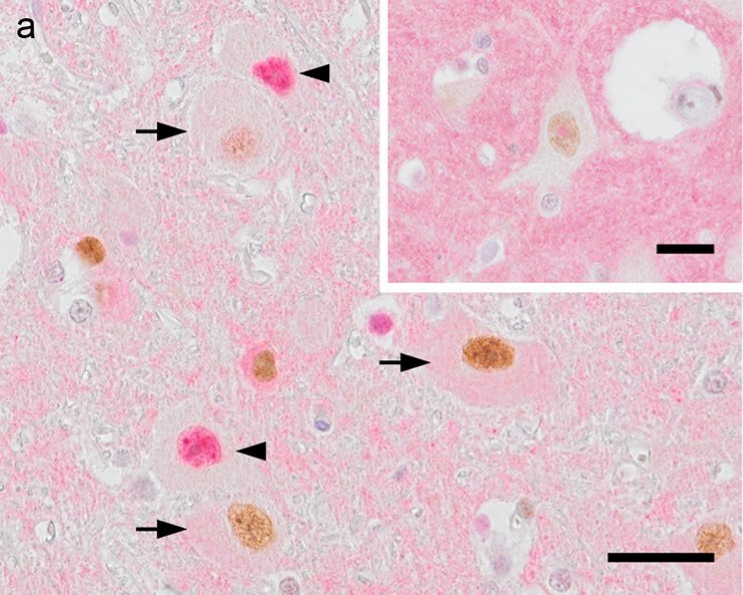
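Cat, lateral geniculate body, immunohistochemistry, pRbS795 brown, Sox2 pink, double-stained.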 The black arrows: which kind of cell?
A: Mature neurons.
